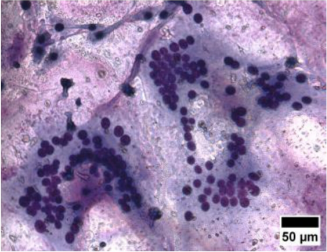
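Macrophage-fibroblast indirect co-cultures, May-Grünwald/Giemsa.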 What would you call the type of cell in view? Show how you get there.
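A large cell mass contains many dark purple nuclei. The nuclei are grouped in clusters and curved rows within a shared pale cytoplasm. The answer: syncytium.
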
